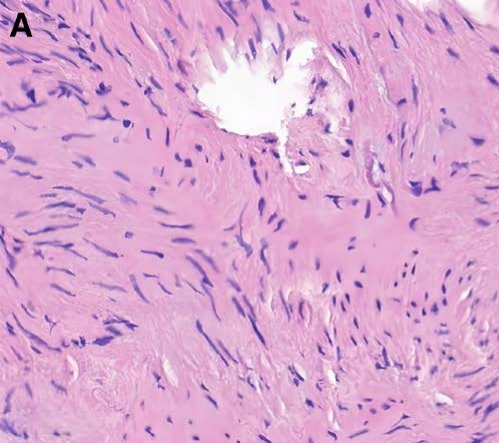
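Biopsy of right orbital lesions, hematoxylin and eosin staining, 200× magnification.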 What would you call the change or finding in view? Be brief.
fibrous tissue proliferation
